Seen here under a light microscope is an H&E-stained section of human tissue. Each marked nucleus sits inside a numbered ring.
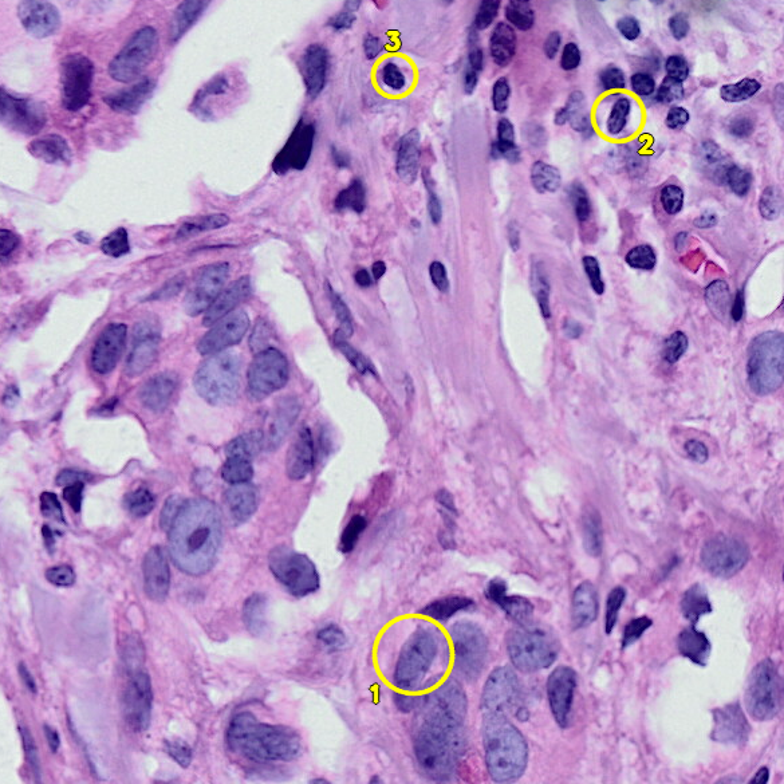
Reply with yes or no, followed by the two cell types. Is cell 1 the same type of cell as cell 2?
No, cell 1 is a carcinoma cell and cell 2 is a lymphocyte.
